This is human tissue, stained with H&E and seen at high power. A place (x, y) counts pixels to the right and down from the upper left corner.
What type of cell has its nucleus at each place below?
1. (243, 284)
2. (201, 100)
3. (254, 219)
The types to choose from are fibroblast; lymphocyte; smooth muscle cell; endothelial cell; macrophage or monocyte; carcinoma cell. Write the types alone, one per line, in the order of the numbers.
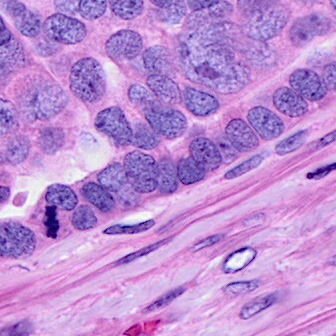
fibroblast
carcinoma cell
fibroblast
